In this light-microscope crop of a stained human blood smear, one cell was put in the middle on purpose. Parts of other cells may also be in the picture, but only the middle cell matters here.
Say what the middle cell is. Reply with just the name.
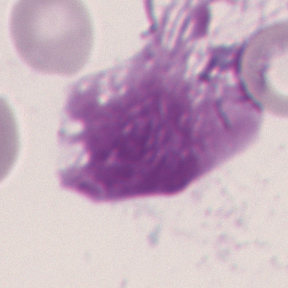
smudge cell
